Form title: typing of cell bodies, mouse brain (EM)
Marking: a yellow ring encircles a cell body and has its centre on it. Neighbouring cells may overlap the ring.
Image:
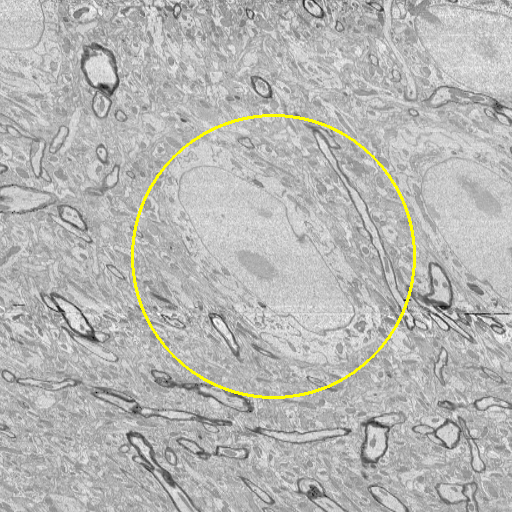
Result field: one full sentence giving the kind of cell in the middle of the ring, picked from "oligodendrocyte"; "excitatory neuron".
In the picture, the ring is centred on an excitatory neuron, whose cell body it encircles.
